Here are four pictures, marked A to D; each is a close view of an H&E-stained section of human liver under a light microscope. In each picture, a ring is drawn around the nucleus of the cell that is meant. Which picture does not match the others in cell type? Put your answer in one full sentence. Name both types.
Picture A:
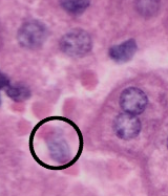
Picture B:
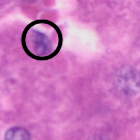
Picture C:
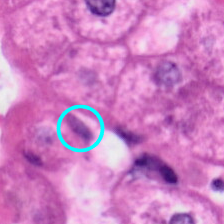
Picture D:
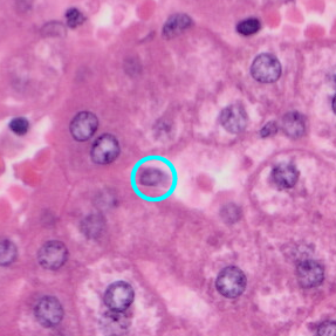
The different one is picture B; it shows an endothelial cell, whereas all the others show Kupffer cells.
